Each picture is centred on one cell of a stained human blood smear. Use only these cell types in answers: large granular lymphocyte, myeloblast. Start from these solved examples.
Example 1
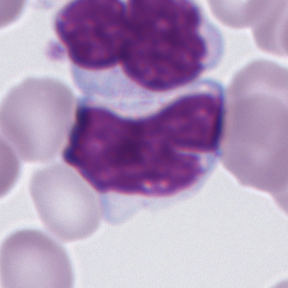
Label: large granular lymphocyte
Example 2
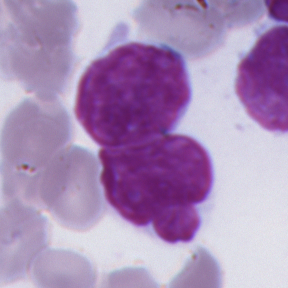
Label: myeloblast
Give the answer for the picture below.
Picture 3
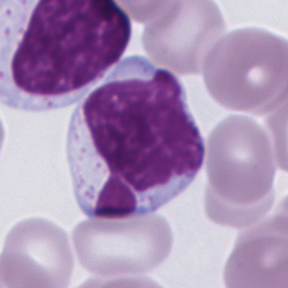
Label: large granular lymphocyte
